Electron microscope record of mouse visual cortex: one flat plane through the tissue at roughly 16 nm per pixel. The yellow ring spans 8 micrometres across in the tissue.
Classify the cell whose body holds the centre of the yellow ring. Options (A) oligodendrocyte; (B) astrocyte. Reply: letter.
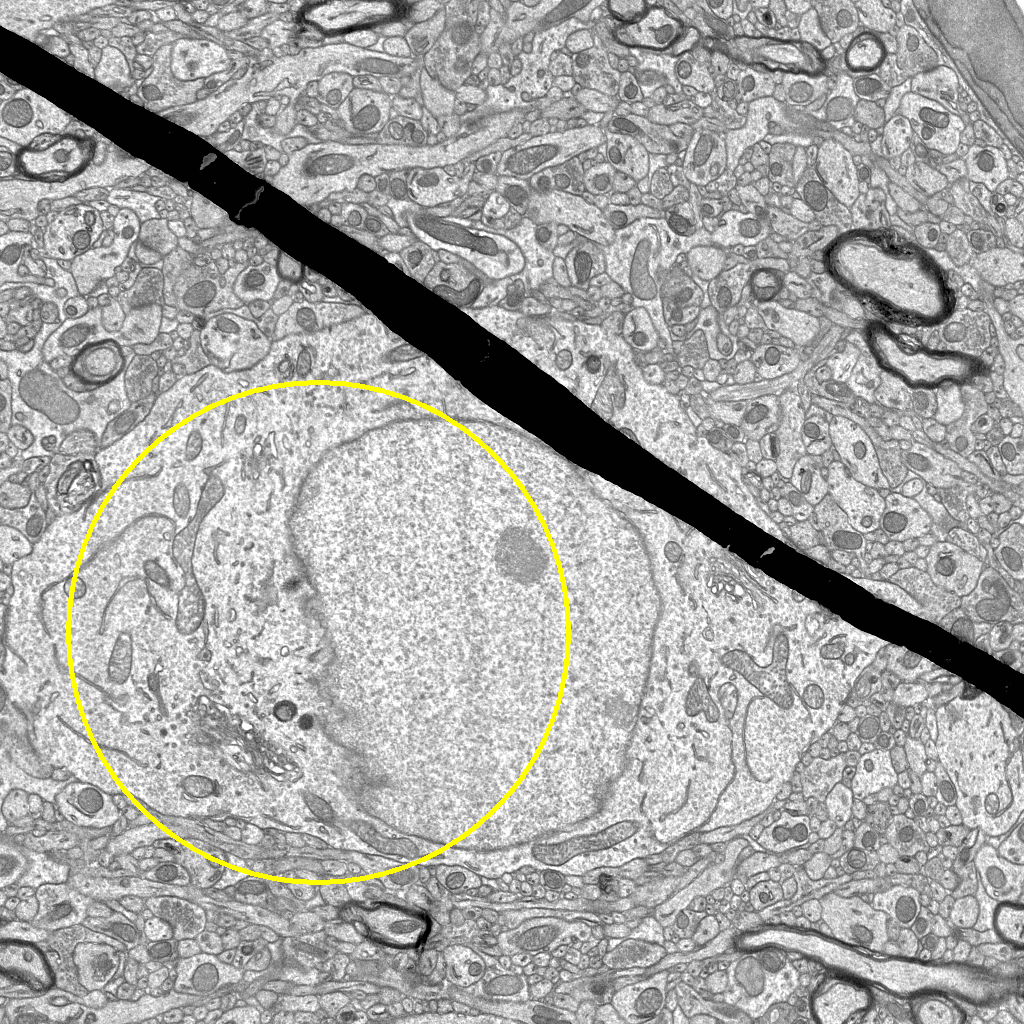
A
